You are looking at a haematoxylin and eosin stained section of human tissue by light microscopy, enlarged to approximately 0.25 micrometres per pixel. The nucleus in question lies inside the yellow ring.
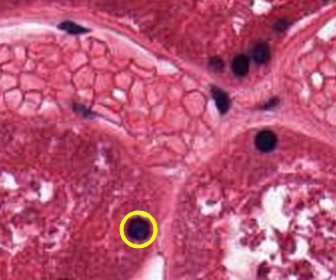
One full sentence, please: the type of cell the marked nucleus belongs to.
The nucleus that the mark indicates belongs to a proximal tubule cell.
